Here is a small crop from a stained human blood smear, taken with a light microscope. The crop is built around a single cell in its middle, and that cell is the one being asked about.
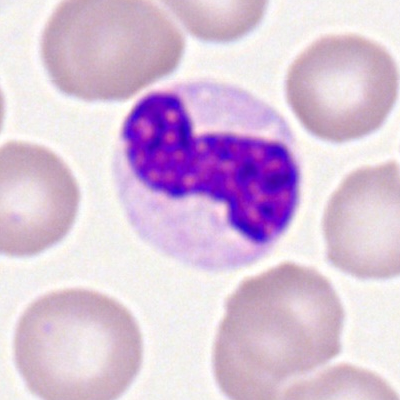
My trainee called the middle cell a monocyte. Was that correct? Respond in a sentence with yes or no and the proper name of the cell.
No, a band neutrophil rather than a monocyte is the cell at the centre of the crop.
